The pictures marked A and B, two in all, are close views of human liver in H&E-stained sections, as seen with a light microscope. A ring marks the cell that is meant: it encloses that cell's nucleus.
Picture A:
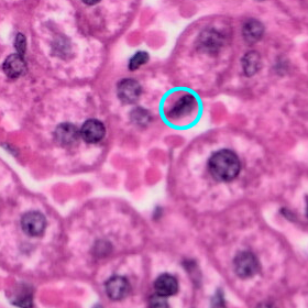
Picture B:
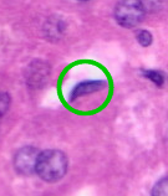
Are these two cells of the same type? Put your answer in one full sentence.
No, they differ: the cell is a “fibroblast or stellate cell” in picture A and an endothelial cell in picture B.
